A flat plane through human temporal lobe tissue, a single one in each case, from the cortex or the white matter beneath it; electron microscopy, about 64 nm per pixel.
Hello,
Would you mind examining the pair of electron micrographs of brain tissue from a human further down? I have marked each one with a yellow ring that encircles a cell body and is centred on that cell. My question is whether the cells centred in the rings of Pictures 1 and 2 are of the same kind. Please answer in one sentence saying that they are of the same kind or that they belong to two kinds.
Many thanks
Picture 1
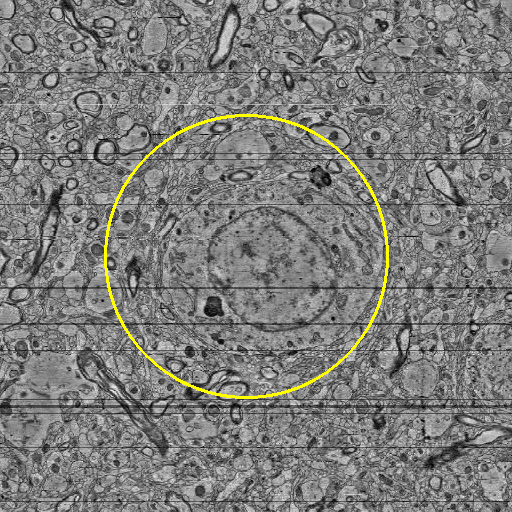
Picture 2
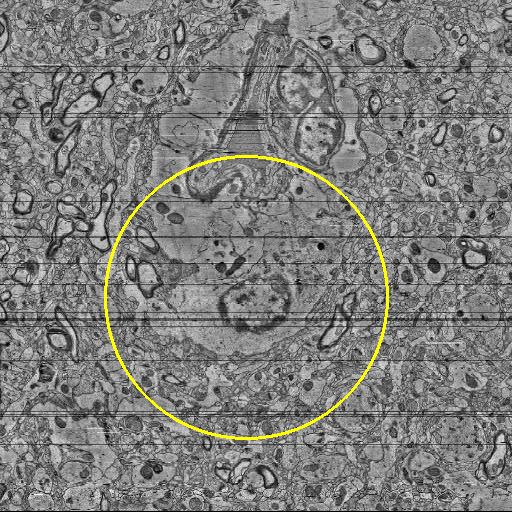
In Pictures 1 and 2, the cells at the heart of the rings belong to two kinds.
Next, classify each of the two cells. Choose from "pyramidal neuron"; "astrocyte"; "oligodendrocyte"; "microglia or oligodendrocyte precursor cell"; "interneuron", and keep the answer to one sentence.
In the first picture it is a pyramidal neuron; in the second it is a microglial cell or oligodendrocyte precursor cell.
